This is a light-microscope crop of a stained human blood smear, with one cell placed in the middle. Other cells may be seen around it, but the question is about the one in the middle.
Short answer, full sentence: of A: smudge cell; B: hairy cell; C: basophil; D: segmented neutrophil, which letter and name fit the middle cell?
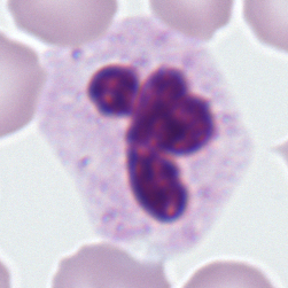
The cell at the centre is a segmented neutrophil, and option D accordingly is correct.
